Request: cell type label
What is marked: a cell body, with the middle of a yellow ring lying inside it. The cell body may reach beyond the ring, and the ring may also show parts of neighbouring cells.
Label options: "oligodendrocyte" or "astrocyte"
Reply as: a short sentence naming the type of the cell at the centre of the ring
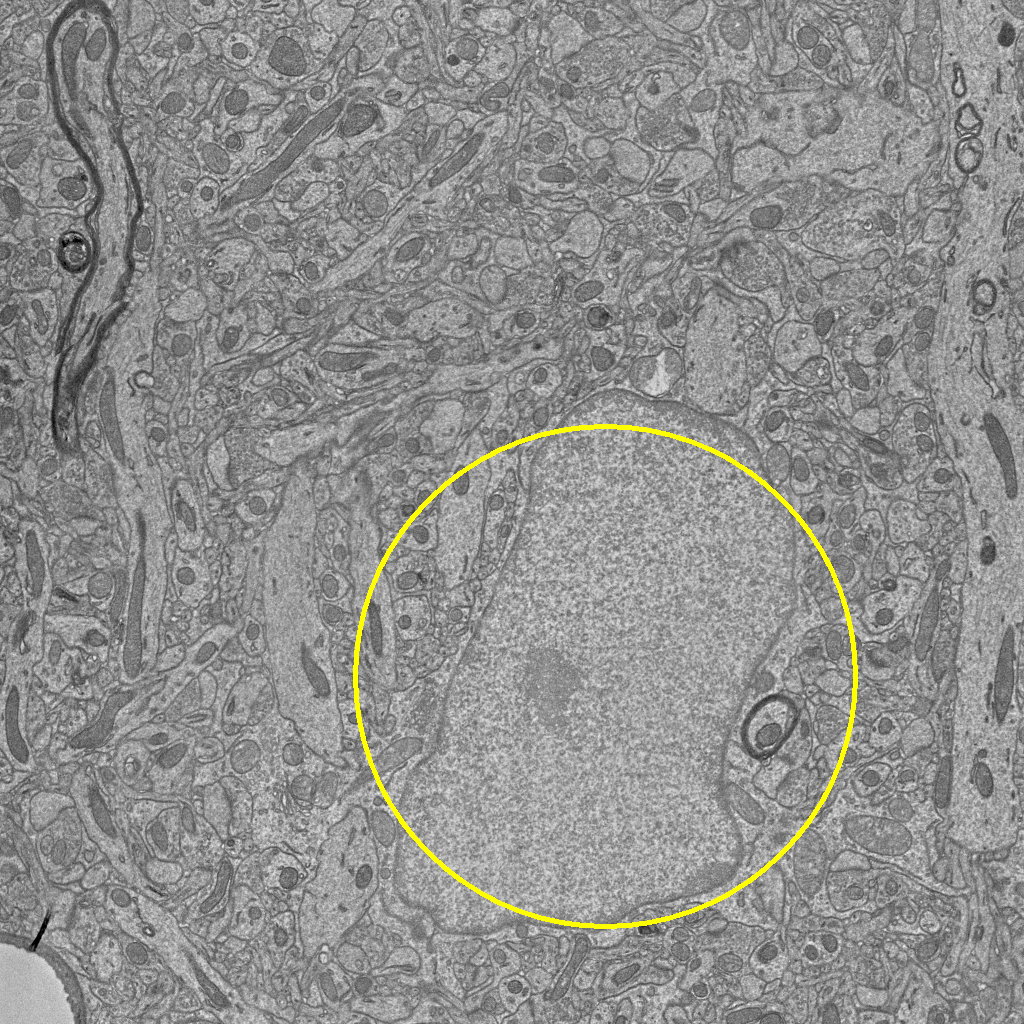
The marked cell body is that of an astrocyte.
